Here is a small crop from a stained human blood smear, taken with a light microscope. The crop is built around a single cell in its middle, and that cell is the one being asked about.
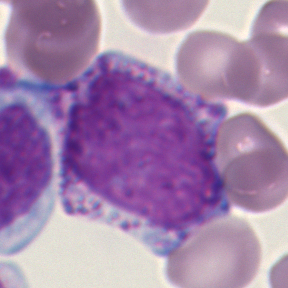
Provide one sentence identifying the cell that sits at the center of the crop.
By classification, the middle cell of this crop is a promyelocyte.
